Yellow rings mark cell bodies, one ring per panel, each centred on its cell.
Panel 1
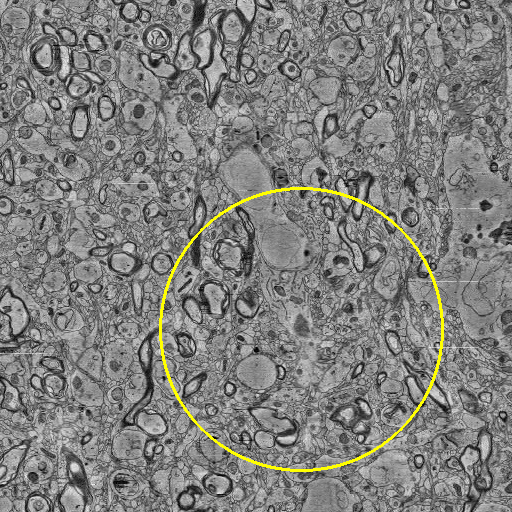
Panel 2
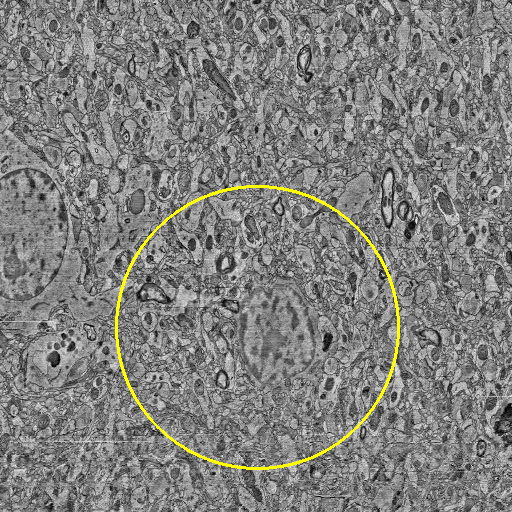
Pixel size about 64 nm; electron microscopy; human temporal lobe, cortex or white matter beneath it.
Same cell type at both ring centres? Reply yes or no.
no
